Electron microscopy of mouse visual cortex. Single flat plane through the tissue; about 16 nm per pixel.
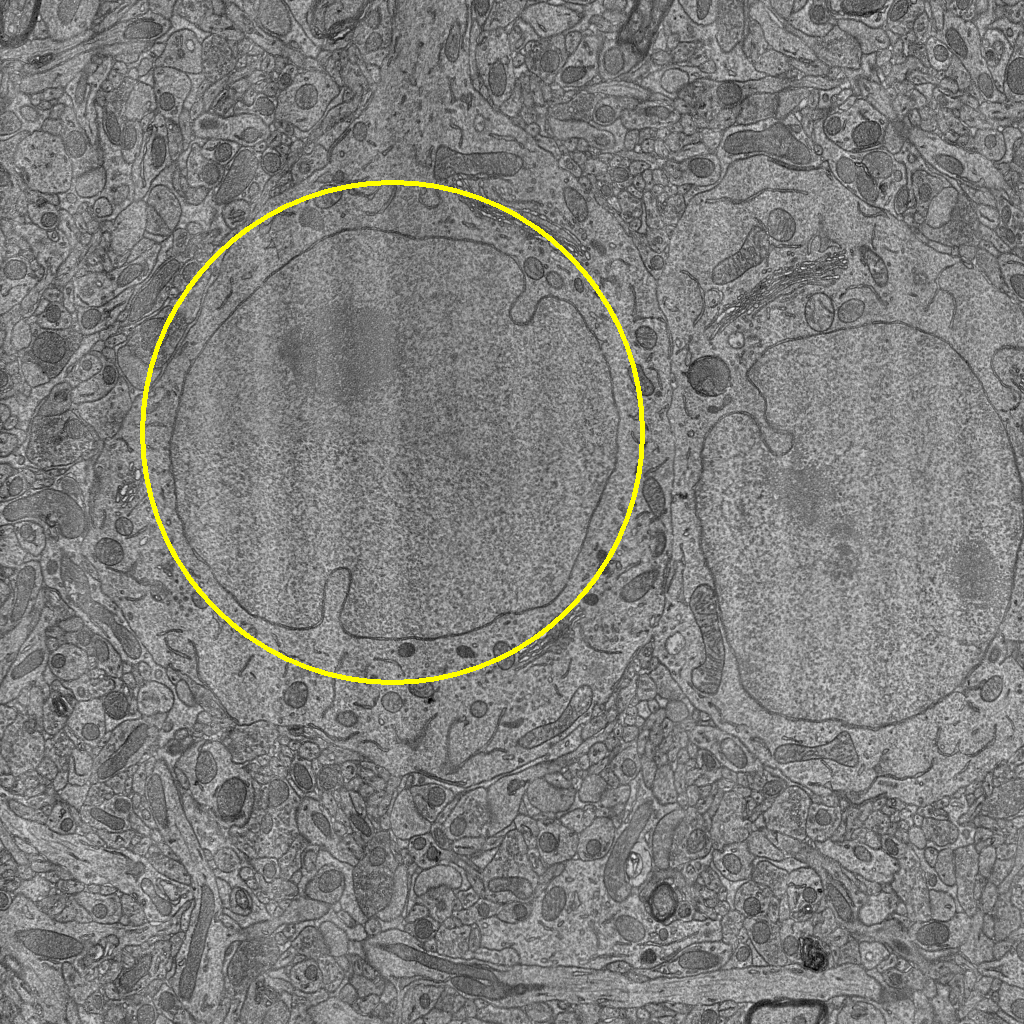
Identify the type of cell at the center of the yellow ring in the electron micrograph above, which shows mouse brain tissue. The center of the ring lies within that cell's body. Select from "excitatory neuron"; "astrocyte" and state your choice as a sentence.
The center of the yellow ring lies in the body of an excitatory neuron.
